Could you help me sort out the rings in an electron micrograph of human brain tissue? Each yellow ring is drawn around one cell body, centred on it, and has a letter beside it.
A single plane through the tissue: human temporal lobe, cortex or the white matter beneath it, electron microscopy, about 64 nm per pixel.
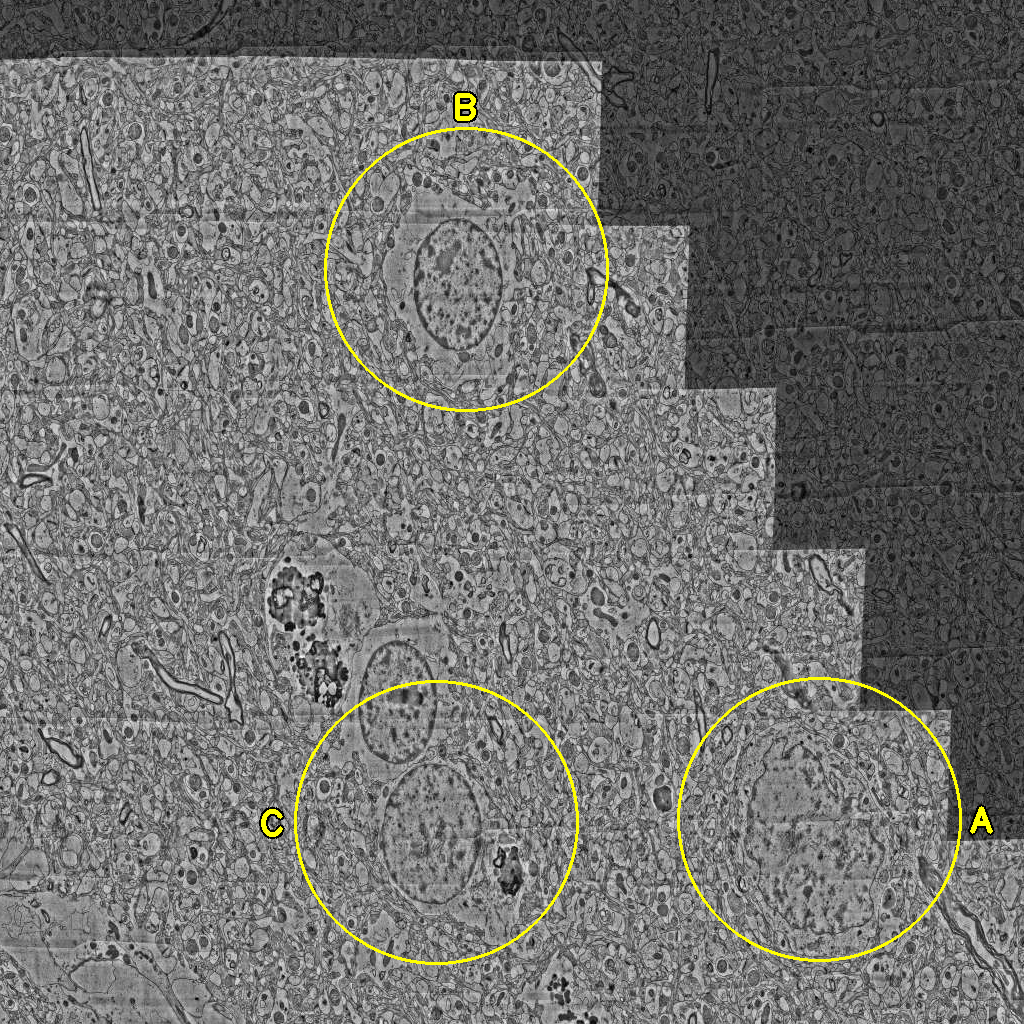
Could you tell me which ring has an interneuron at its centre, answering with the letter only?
A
